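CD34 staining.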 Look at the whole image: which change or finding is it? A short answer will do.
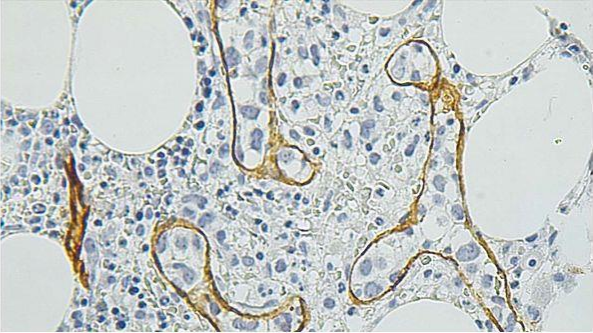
intravascular growth pattern of the tumoral cells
